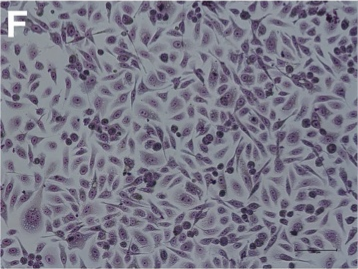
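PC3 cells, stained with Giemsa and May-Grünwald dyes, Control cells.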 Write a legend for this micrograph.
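A dense, nearly confluent layer of cultured cells. Most cells are flat and polygonal to spindle-shaped, with pale lilac cytoplasm and a single oval purple nucleus. Scattered among them are smaller rounded cells that stain darker. Little empty background is left between the cells.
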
